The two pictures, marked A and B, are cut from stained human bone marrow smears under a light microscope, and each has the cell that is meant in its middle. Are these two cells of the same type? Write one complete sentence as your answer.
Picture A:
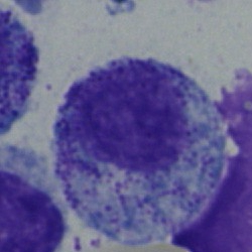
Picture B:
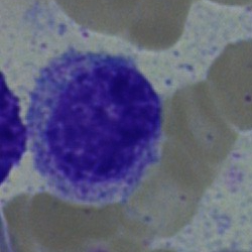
Yes, they are the same type: both are myelocytes.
